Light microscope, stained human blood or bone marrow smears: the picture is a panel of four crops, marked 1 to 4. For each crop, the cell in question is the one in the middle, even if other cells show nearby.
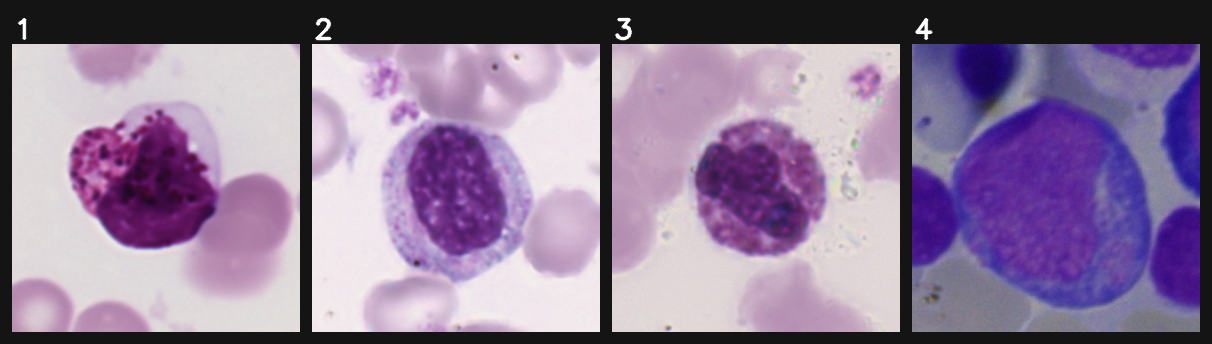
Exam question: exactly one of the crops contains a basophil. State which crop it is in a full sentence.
It is in crop 1, among all the crops, that a basophil is present.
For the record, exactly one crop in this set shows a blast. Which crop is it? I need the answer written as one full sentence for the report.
The requested cell, a blast, is the one in crop 4.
